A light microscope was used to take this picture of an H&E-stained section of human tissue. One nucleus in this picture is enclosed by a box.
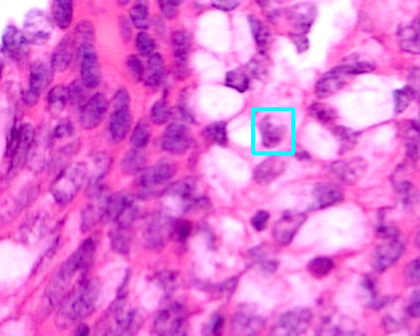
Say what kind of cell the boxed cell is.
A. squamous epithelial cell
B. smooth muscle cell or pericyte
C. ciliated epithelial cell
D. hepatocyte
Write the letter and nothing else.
C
